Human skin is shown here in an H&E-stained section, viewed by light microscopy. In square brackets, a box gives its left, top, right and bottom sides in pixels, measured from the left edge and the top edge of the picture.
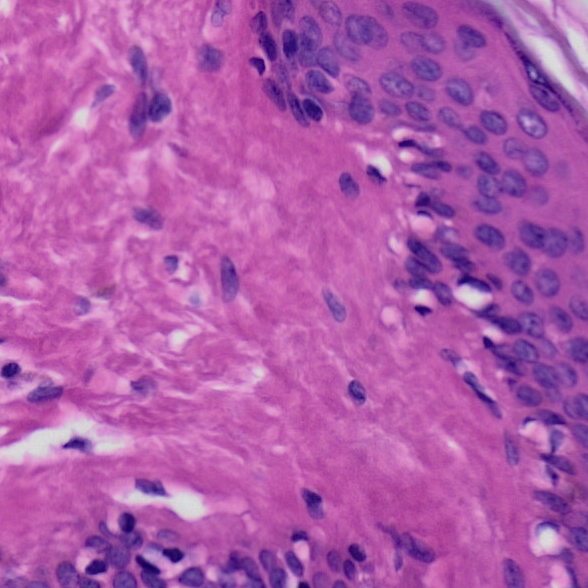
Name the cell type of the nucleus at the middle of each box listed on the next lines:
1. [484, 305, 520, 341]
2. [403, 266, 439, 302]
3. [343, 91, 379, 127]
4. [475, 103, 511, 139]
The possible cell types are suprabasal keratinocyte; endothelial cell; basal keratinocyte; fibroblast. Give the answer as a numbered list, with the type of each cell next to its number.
1. basal keratinocyte
2. basal keratinocyte
3. basal keratinocyte
4. suprabasal keratinocyte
